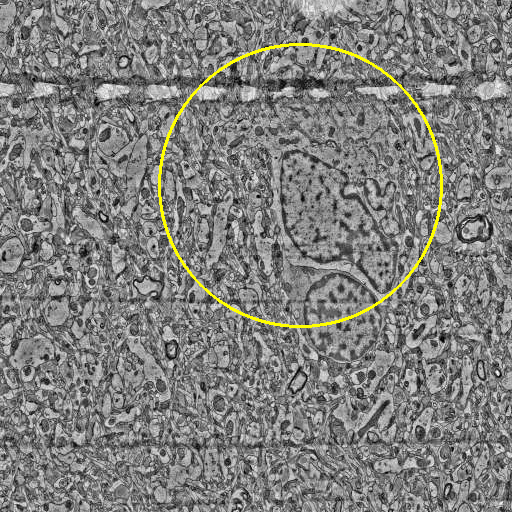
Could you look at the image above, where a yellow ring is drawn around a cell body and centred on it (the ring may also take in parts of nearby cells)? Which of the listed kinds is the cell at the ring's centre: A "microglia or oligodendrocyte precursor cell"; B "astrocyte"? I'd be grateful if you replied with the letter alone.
A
